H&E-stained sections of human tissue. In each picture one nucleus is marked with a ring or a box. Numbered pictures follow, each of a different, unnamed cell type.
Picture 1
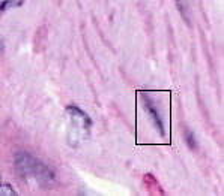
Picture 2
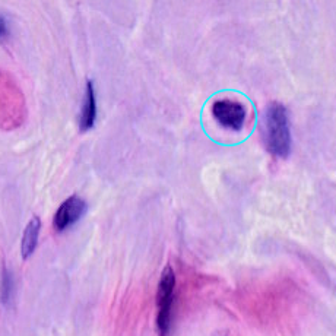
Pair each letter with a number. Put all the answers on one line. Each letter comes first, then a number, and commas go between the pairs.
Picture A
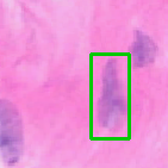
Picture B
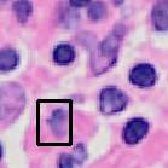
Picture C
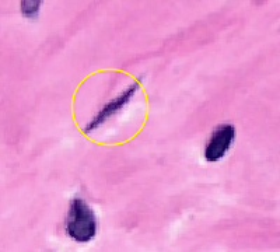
A 1, B 2, C 1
